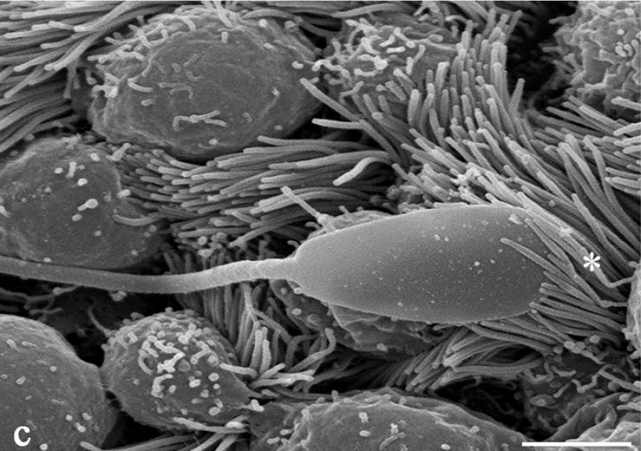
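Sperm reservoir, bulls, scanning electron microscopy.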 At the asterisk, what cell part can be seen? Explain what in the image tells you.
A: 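The asterisk lies on a tuft of many long, thin, uniform cylindrical projections. The projections arise in dense bundles from cell surfaces and bend over the sperm head.
Hence: tubal cilia.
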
